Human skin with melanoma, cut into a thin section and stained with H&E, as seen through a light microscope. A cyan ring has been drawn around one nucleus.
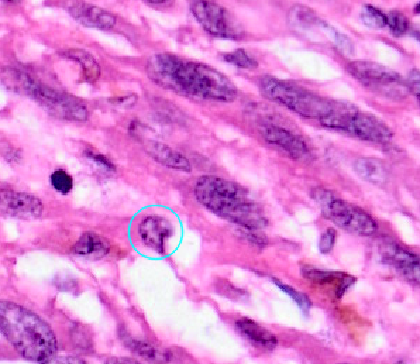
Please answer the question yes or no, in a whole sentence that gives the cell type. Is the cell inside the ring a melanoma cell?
Yes, the cell inside the ring is one that is classed as a melanoma cell.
